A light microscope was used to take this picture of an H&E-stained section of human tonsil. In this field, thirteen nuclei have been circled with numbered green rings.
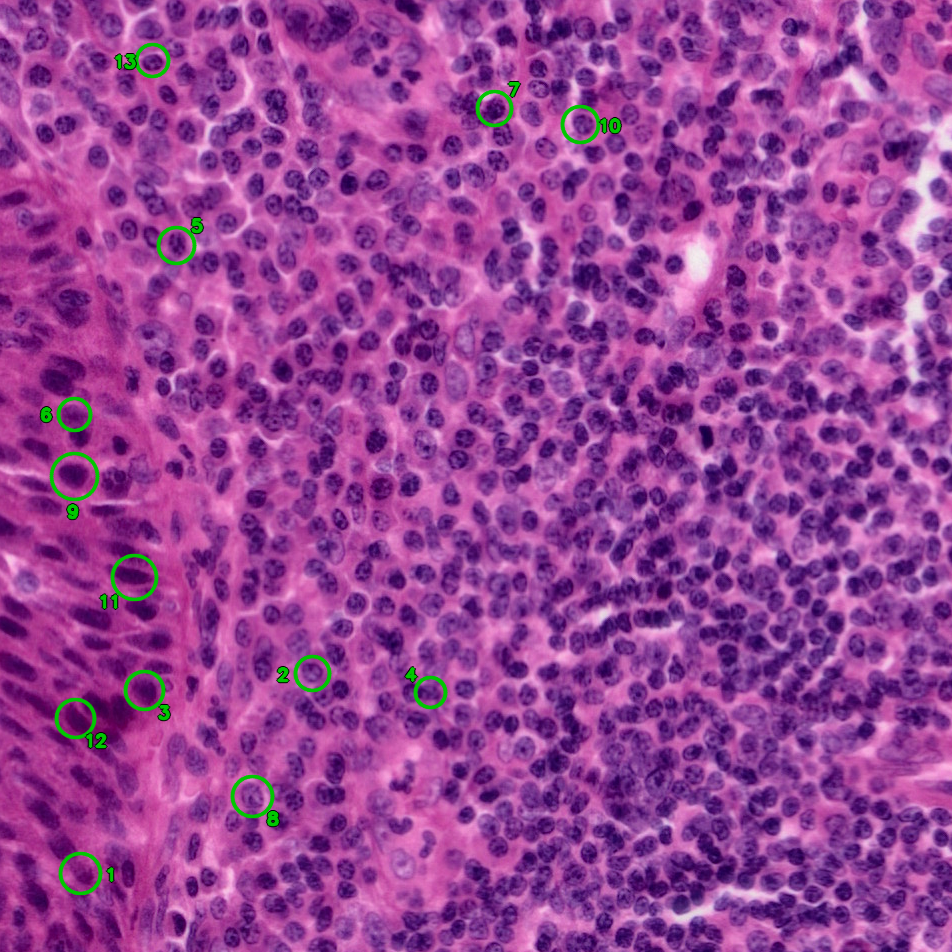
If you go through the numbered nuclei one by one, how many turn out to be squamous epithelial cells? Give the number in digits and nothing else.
6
